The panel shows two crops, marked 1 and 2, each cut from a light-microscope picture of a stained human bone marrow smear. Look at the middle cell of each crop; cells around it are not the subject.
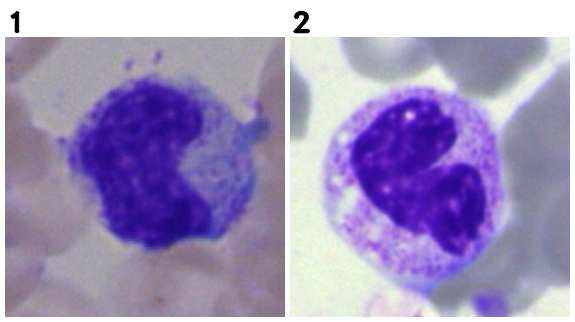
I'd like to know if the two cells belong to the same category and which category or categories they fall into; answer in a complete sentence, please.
Yes, the cells of interest in both crops are band neutrophils.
